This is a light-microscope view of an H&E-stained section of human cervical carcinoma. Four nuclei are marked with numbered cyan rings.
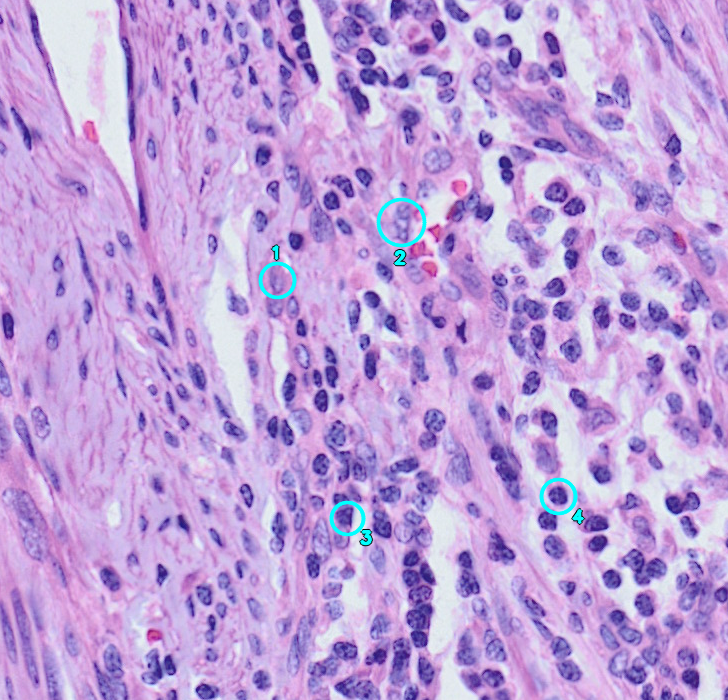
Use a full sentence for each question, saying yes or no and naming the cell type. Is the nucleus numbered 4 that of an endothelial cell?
No. Cell number 4 is a lymphocyte, not an endothelial cell.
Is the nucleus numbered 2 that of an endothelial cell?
Yes, correct, the cell with the number 2 is an endothelial cell.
